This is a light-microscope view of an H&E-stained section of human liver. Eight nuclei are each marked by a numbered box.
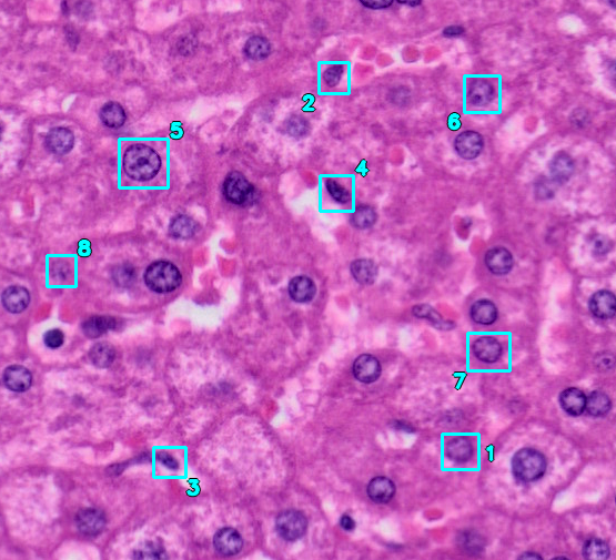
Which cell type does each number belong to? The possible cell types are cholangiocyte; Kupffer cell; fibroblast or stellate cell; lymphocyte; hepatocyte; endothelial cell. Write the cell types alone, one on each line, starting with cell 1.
hepatocyte
Kupffer cell
lymphocyte
fibroblast or stellate cell
hepatocyte
hepatocyte
hepatocyte
hepatocyte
